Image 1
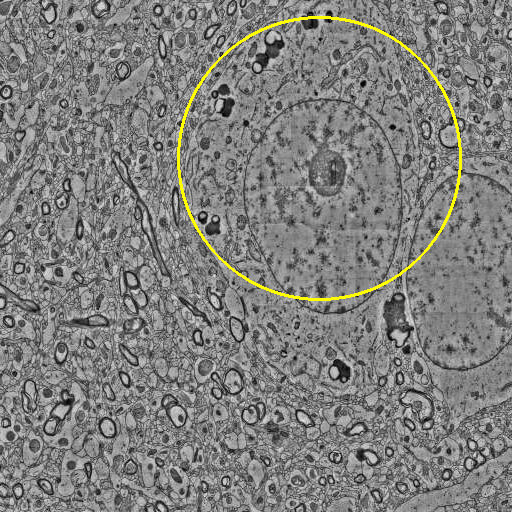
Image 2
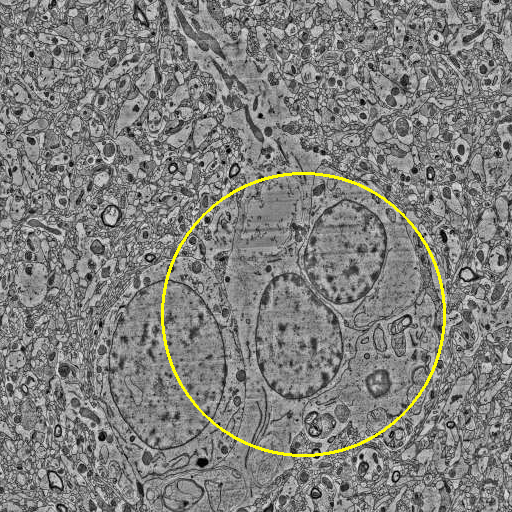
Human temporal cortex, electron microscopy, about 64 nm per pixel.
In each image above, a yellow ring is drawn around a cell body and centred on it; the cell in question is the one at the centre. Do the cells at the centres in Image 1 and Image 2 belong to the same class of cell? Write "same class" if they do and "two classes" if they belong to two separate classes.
two classes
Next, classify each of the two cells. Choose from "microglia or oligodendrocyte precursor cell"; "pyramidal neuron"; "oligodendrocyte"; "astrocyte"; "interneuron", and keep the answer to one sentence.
In the first picture it is a pyramidal neuron; in the second it is an astrocyte.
